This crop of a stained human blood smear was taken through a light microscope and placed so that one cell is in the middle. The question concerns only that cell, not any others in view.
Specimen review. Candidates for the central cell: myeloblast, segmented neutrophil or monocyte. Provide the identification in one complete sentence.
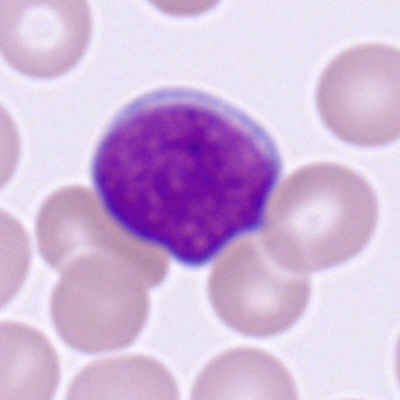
The cell at the central position in this crop is a myeloblast.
